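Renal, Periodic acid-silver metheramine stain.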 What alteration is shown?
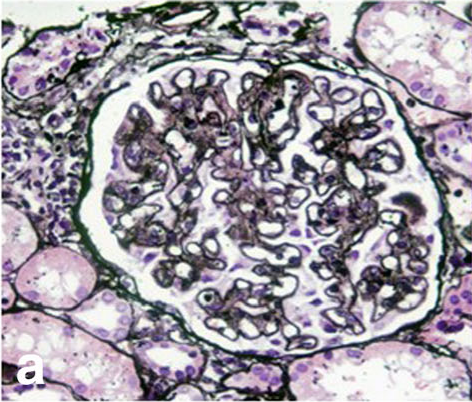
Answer: Diffuse thickening of the glomerular basement membrane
